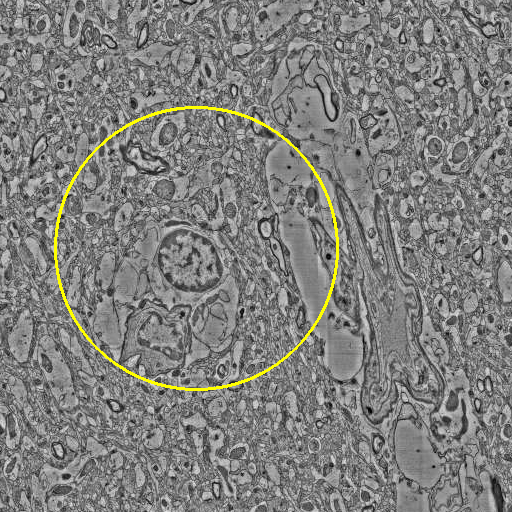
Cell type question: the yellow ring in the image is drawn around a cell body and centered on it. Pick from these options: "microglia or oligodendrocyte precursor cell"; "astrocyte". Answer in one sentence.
The ringed cell at the center is a microglial cell or oligodendrocyte precursor cell.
